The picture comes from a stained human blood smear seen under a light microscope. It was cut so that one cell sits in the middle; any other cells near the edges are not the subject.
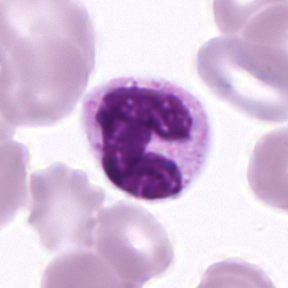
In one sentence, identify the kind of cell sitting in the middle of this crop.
Within this crop, a band neutrophil occupies the central position.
